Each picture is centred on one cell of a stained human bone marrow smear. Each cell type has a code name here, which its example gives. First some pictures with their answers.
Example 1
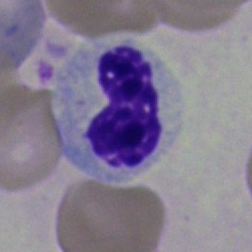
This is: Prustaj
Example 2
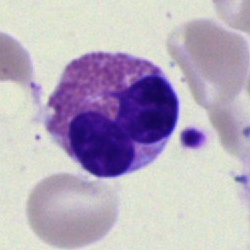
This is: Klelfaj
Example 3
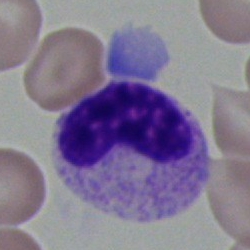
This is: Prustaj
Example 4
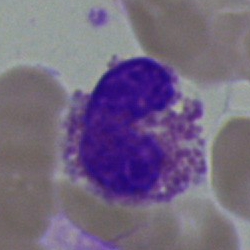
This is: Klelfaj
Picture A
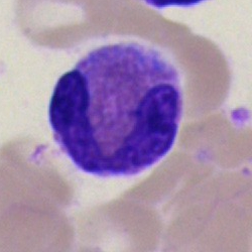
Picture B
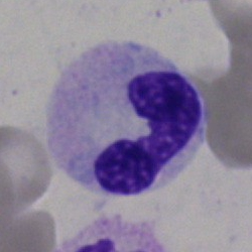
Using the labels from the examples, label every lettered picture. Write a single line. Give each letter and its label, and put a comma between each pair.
A Klelfaj, B Prustaj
